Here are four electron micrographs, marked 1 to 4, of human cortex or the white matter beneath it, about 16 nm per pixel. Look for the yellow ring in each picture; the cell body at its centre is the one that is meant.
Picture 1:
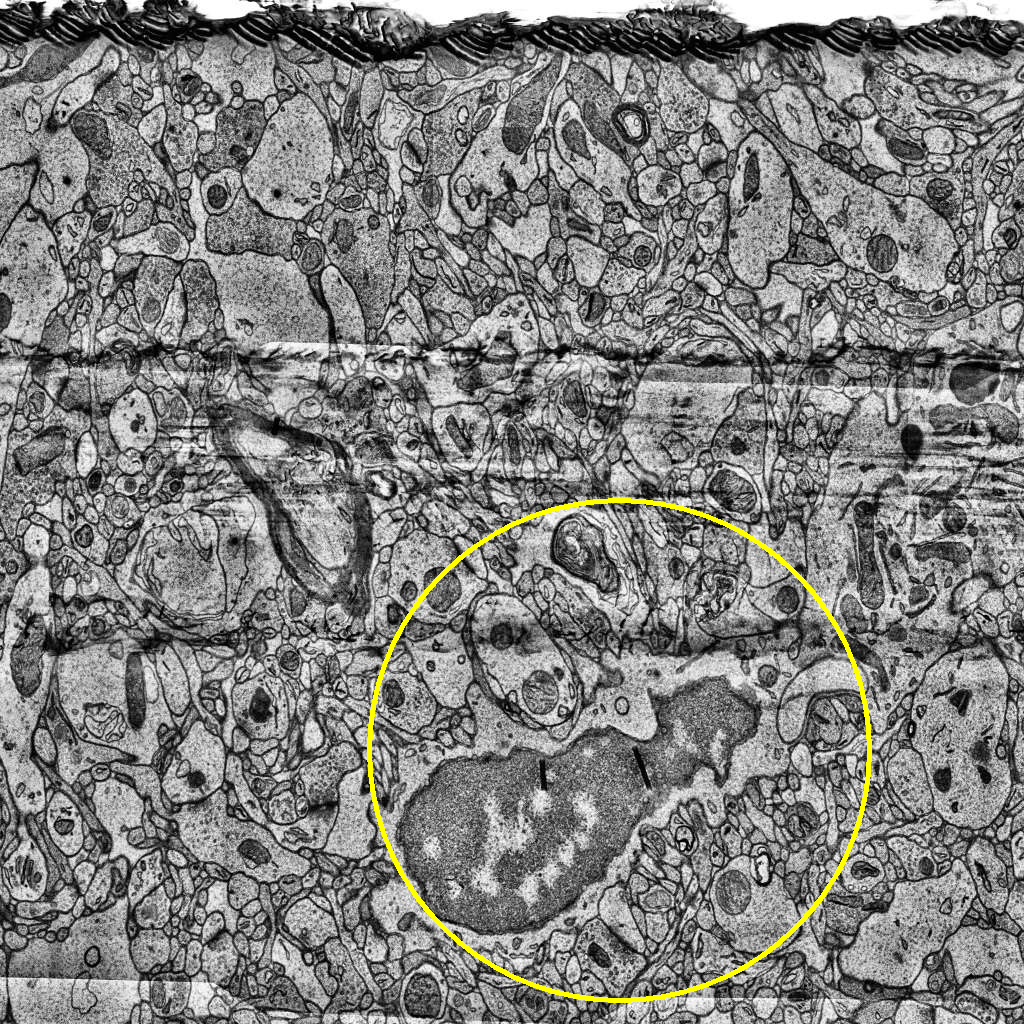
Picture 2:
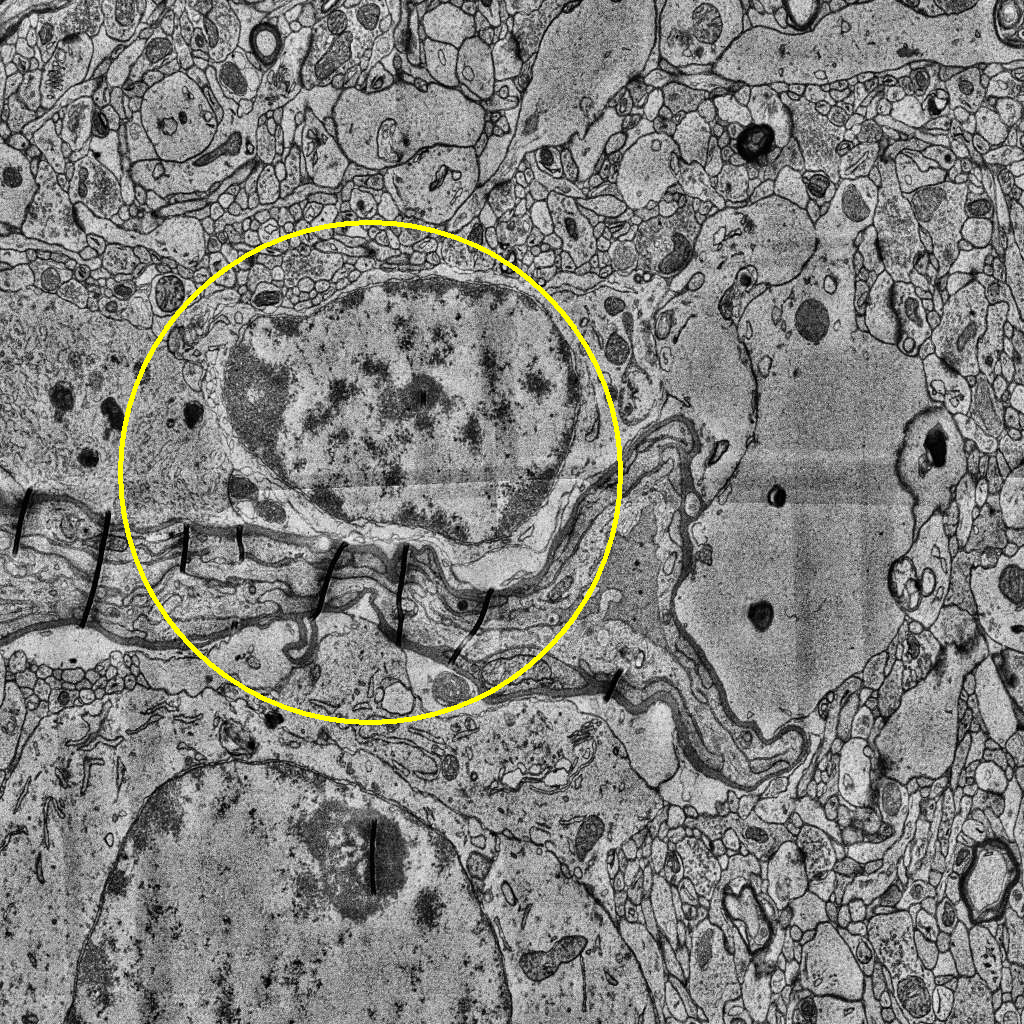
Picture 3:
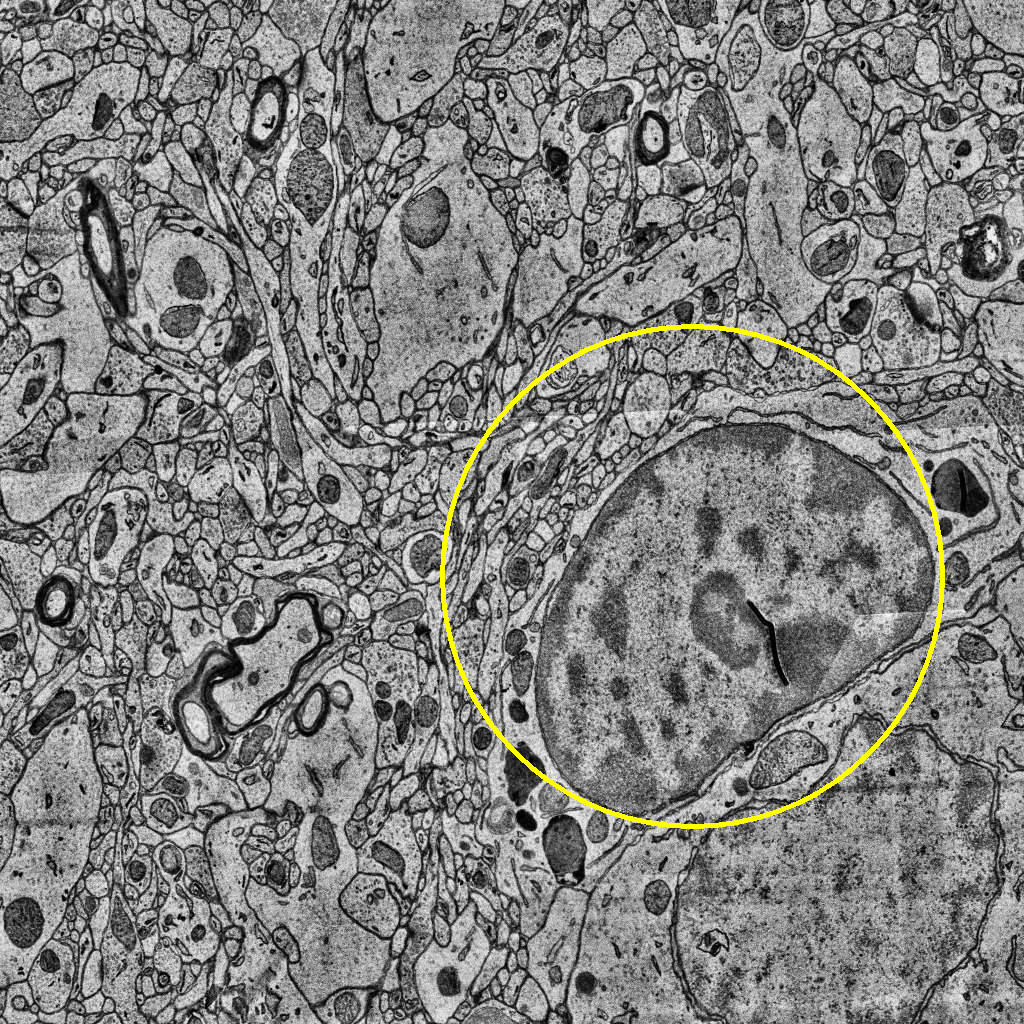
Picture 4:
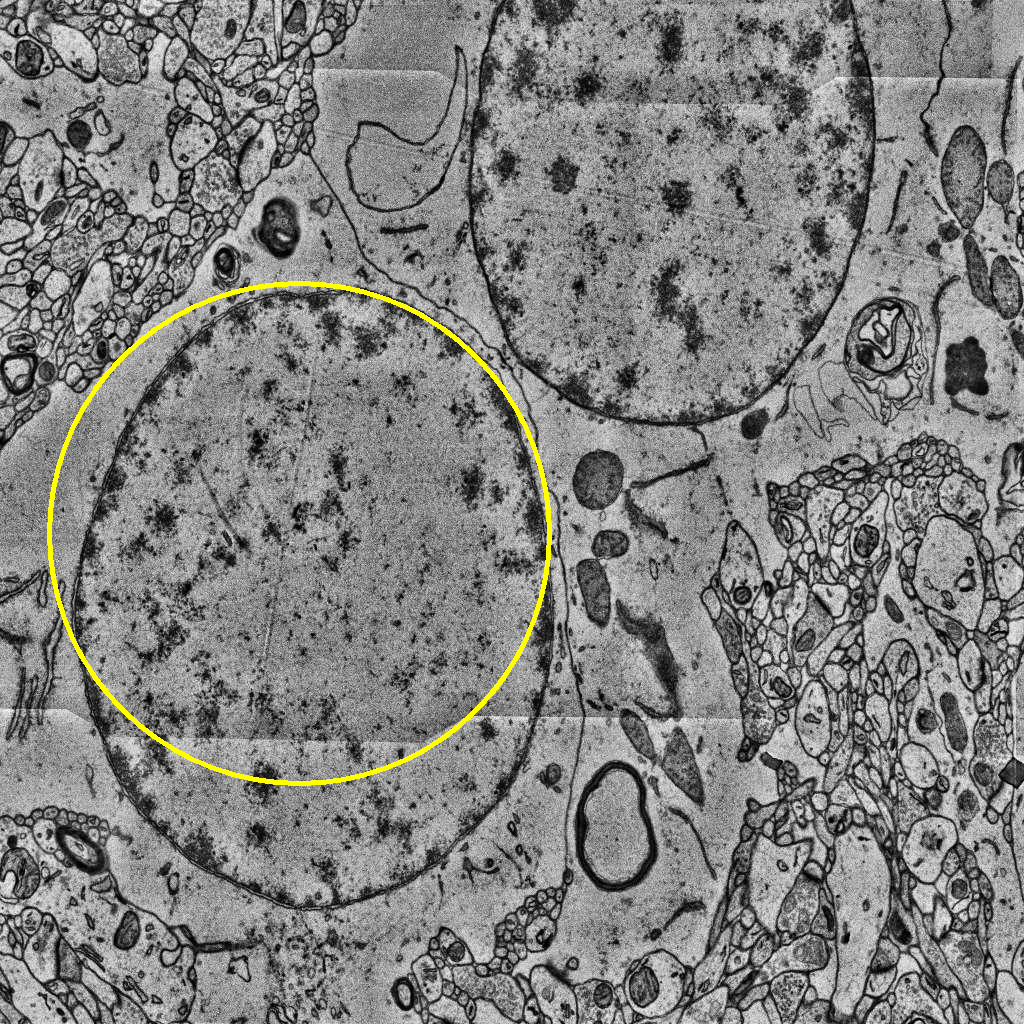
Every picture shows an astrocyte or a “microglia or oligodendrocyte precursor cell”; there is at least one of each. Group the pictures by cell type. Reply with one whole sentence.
Picture 4 shows an astrocyte, and pictures 1, 2 and 3 show “microglia or oligodendrocyte precursor cells”.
